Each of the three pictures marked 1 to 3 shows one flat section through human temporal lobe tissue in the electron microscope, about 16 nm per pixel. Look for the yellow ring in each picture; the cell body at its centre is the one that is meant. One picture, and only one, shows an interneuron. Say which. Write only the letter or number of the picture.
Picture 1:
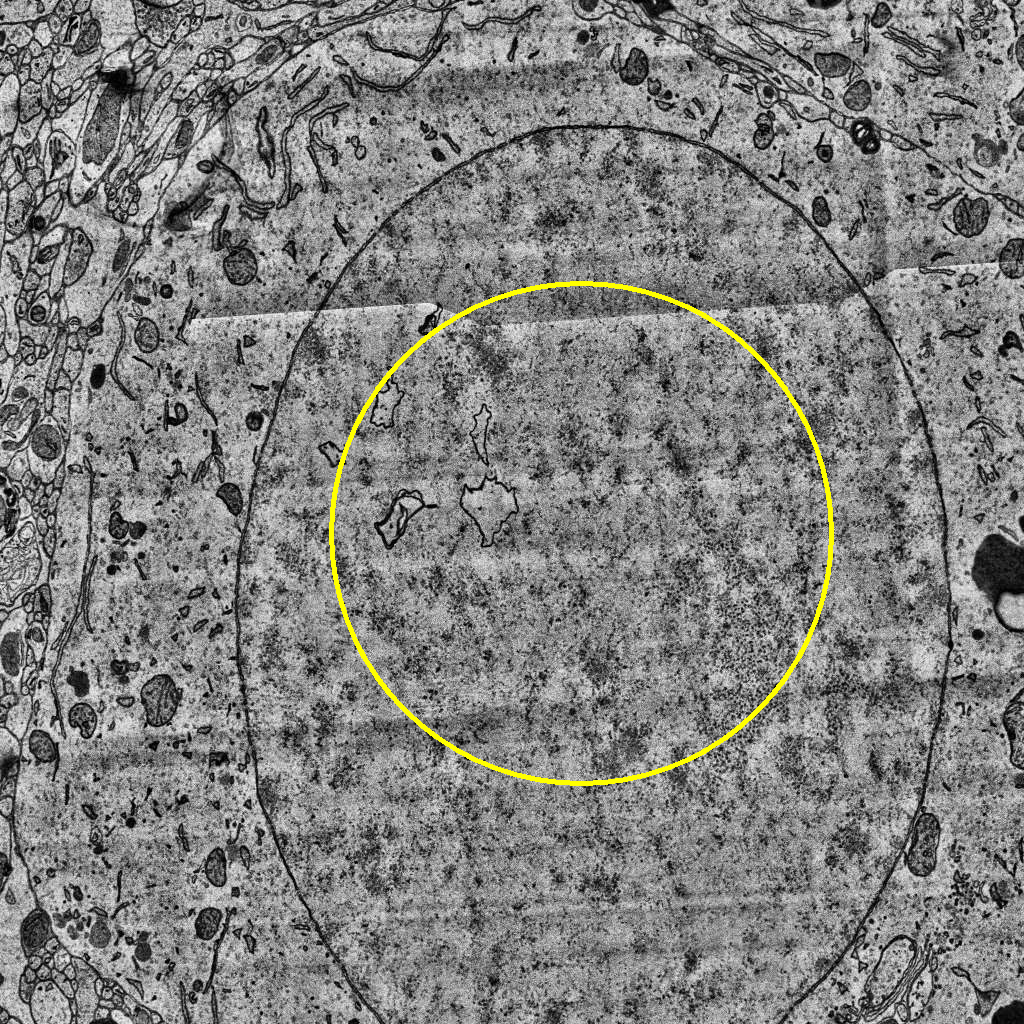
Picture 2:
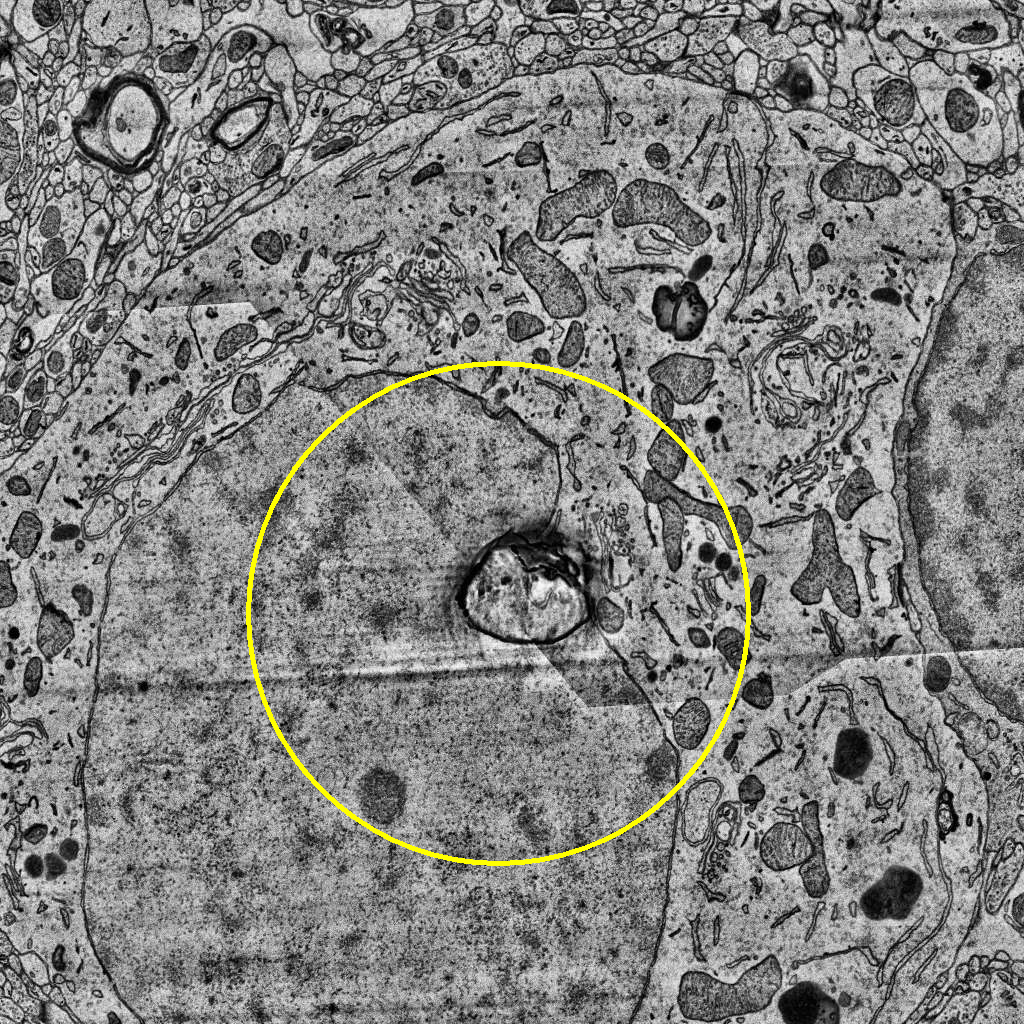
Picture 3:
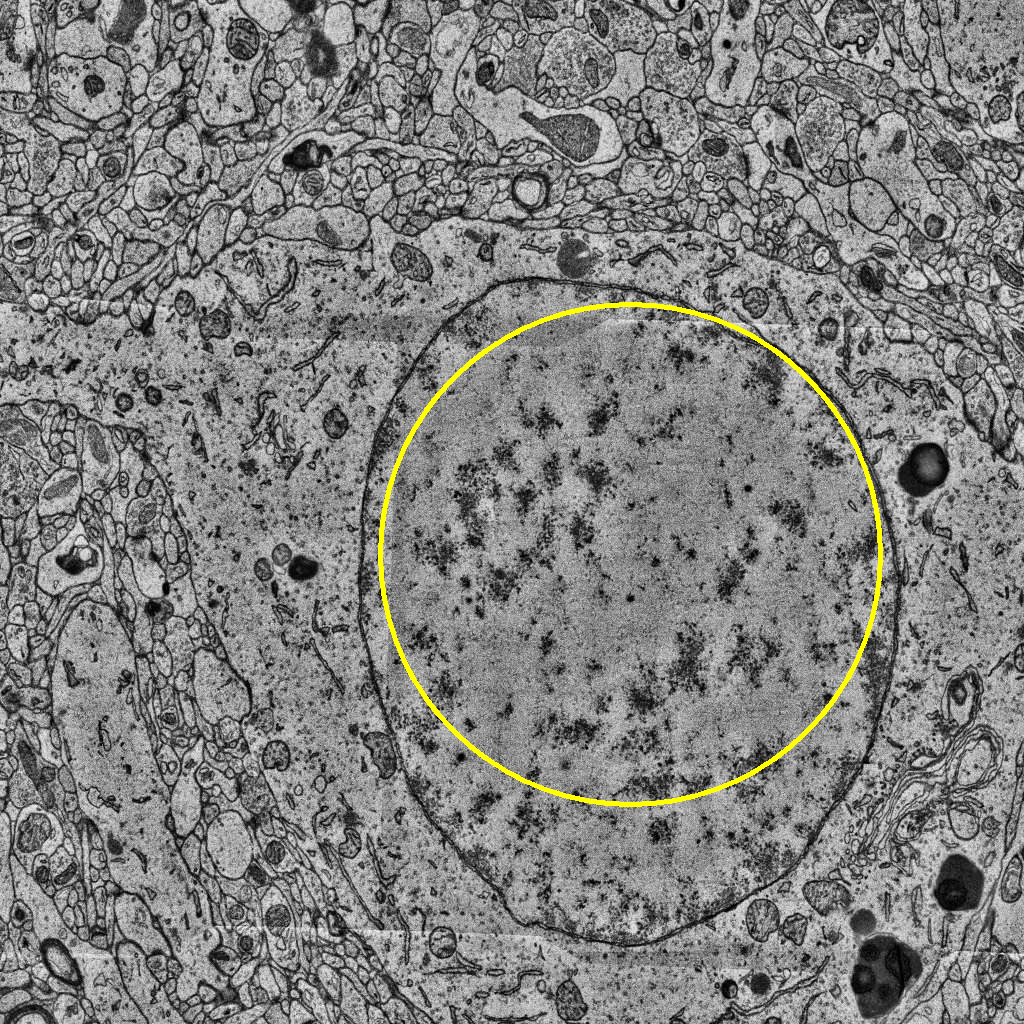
2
